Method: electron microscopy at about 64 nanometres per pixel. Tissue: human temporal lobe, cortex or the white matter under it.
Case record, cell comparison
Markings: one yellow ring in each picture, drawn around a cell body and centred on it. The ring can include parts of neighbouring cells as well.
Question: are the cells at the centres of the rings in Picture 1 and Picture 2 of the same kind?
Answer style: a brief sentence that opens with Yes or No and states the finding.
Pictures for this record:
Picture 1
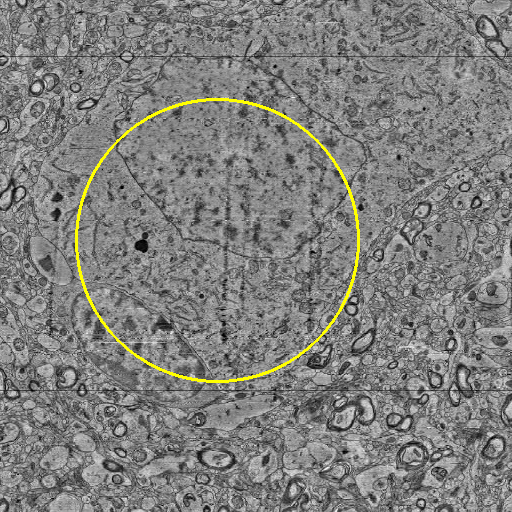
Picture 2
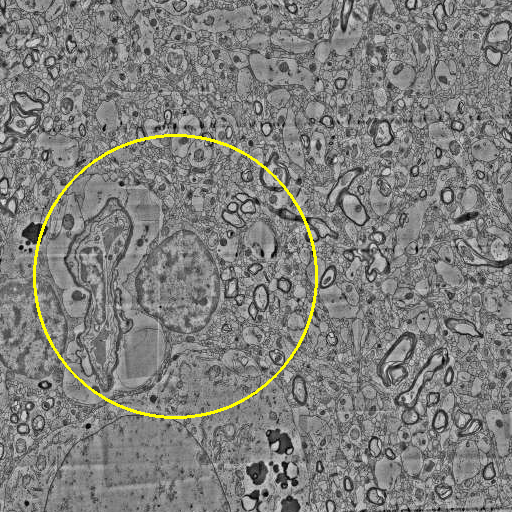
No, the cells in Picture 1 and Picture 2 are of two kinds.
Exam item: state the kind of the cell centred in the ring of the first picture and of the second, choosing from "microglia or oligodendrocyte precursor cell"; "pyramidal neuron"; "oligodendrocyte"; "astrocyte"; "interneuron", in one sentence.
The first picture shows a pyramidal neuron at the ring centre and the second shows an oligodendrocyte.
